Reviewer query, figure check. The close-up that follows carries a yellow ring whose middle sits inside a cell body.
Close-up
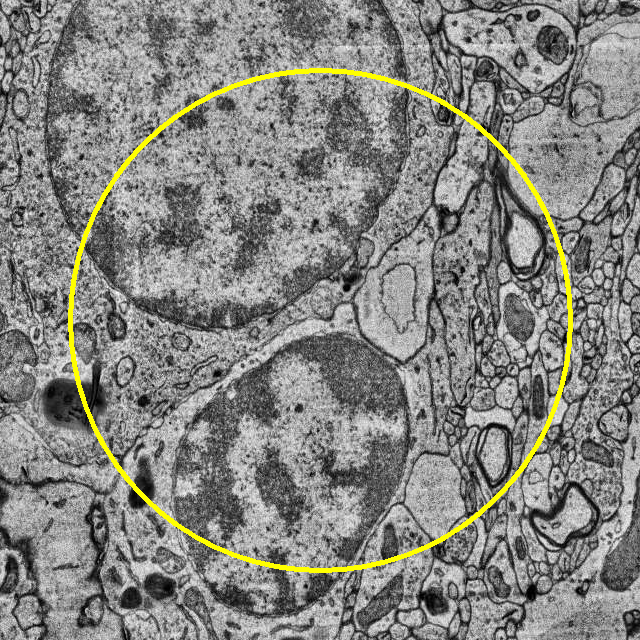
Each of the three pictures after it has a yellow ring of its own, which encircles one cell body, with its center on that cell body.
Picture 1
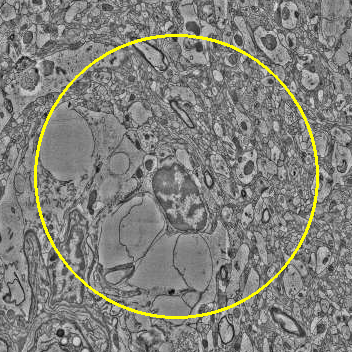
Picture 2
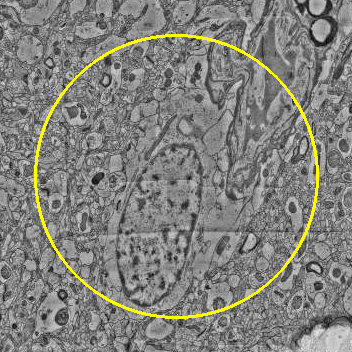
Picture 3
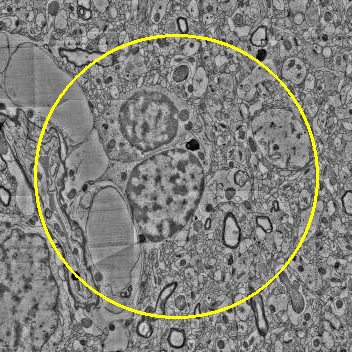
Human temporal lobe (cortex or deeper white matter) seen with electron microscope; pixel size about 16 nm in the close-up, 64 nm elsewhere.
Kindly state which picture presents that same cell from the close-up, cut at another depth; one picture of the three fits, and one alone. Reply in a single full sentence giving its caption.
The close-up presents the same cell outlined by the ring in Picture 3.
